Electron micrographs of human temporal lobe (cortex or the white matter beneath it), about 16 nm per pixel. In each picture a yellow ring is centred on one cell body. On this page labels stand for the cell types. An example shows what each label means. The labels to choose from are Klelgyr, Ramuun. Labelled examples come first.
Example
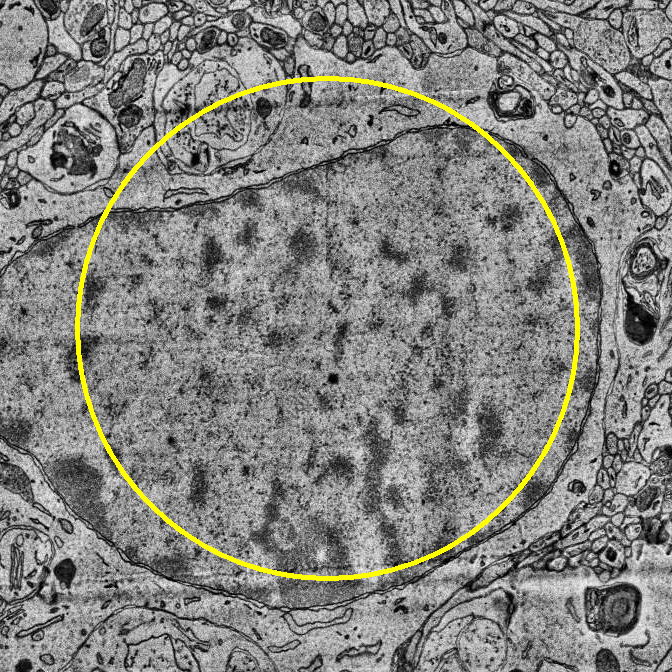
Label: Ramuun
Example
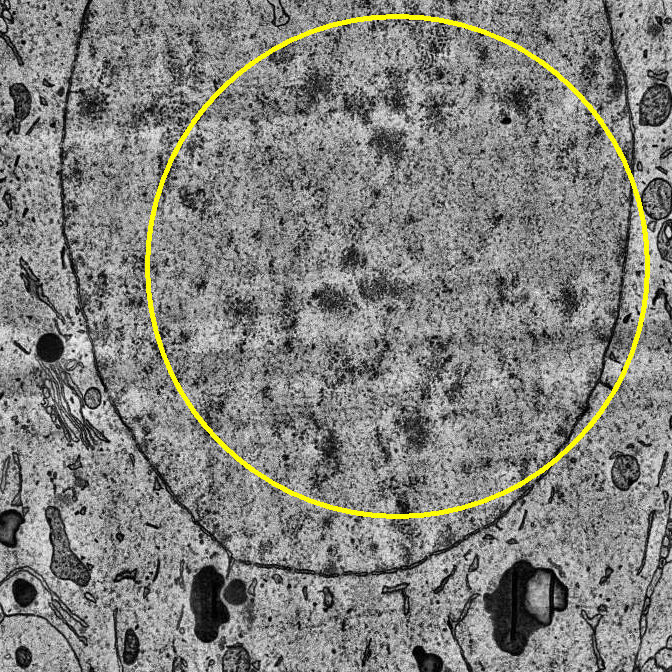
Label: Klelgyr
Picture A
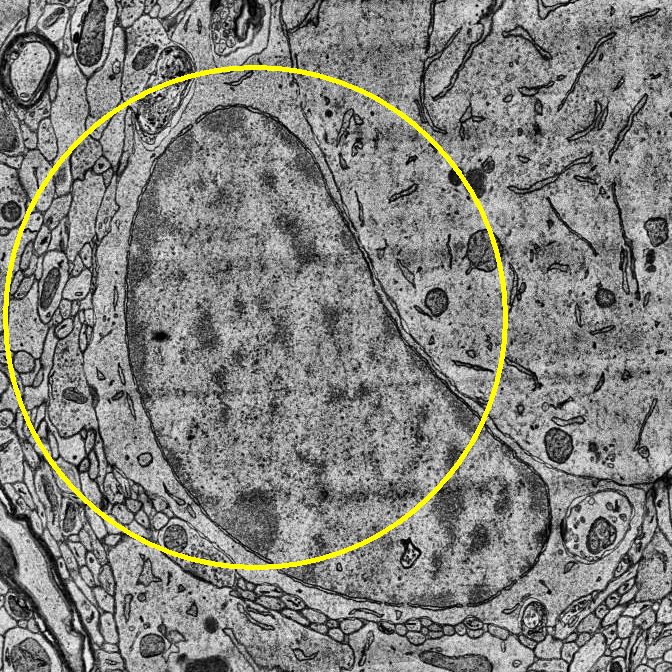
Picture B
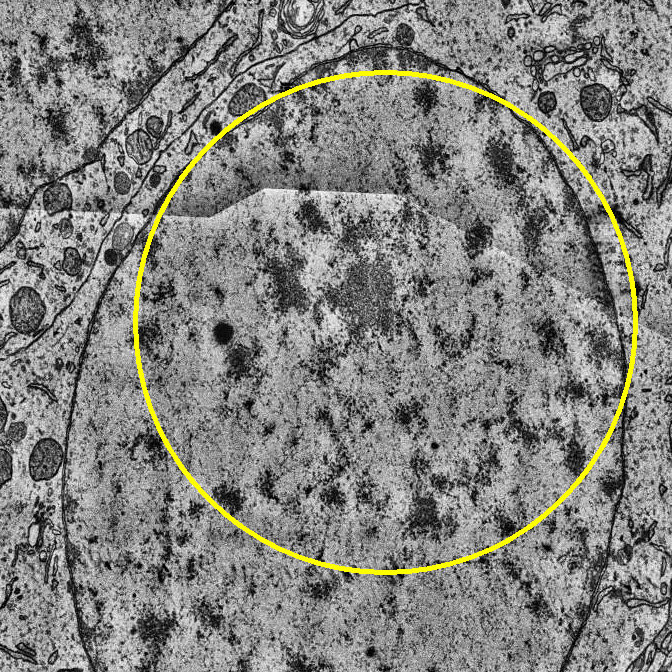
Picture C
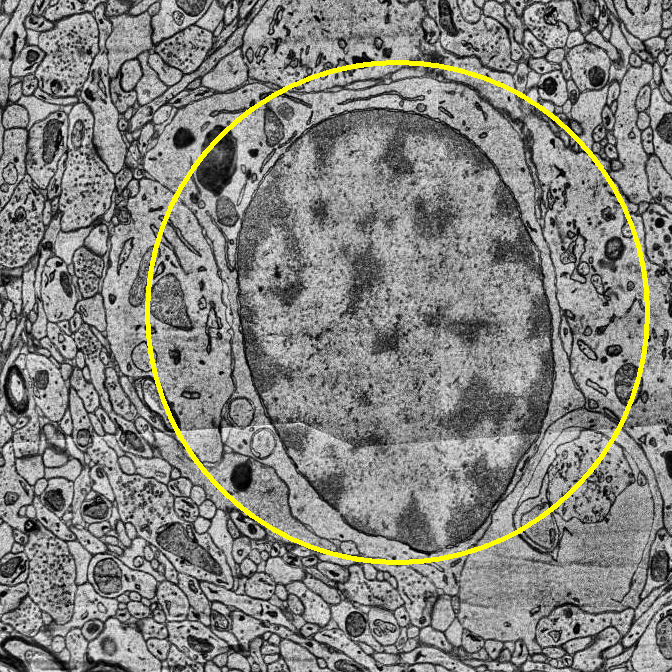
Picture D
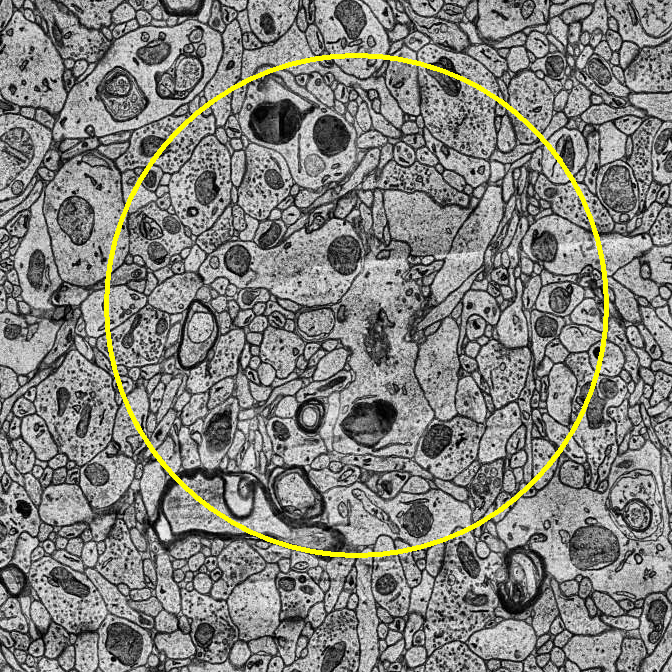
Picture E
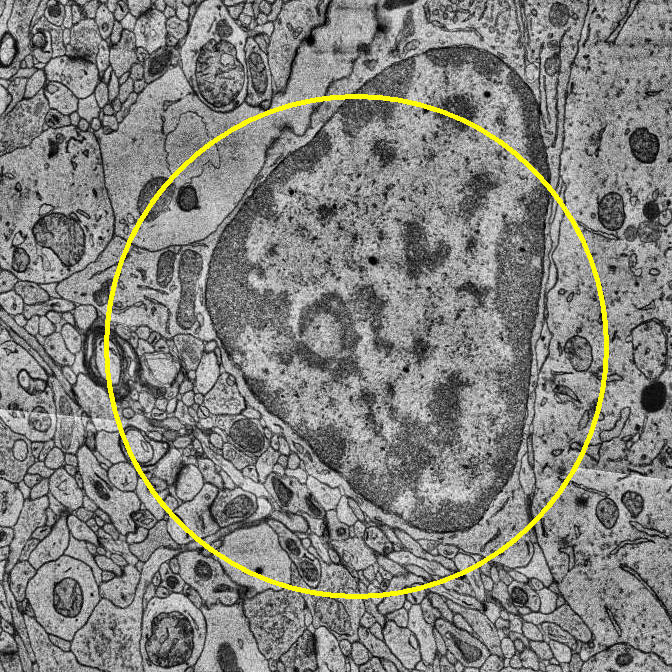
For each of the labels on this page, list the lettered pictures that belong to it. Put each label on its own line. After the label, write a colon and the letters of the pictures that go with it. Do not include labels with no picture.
Klelgyr: B
Ramuun: A, C, D, E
